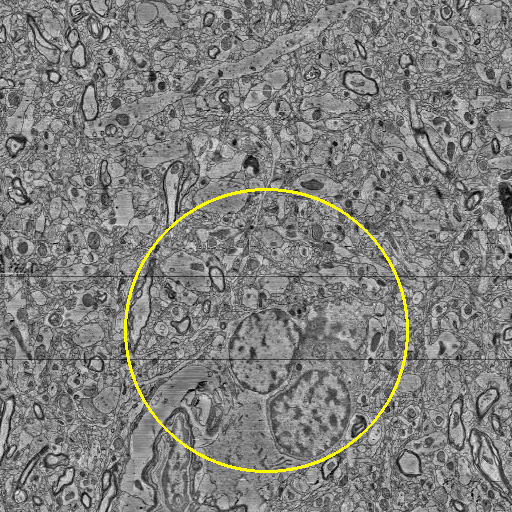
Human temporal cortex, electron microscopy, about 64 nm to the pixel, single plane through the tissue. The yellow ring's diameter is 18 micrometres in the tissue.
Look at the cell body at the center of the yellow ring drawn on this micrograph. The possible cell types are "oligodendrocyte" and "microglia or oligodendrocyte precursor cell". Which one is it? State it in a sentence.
The cell in the middle of the ring is a microglial cell or oligodendrocyte precursor cell.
